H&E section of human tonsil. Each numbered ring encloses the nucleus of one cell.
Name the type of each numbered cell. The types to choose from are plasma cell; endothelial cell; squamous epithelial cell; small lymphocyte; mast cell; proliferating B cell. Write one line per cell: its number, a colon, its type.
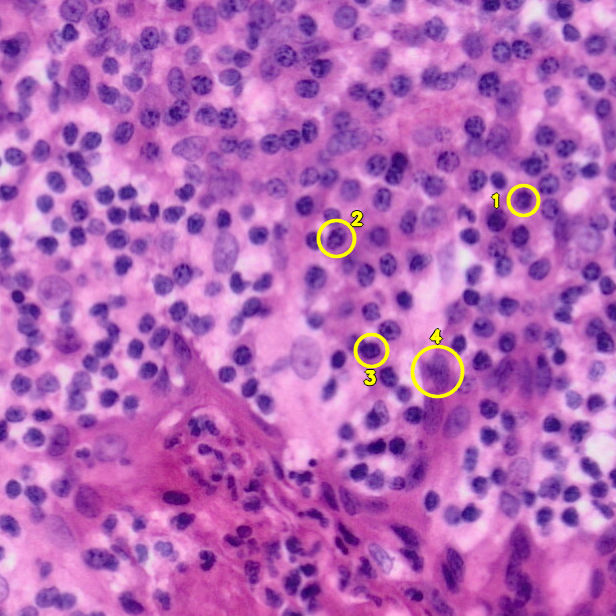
1: plasma cell
2: plasma cell
3: plasma cell
4: squamous epithelial cell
